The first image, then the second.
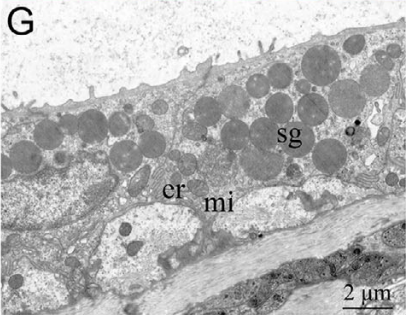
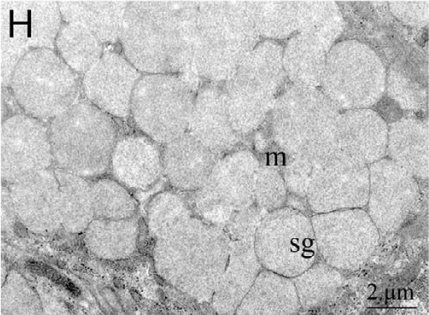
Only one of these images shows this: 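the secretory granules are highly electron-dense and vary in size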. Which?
The first image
